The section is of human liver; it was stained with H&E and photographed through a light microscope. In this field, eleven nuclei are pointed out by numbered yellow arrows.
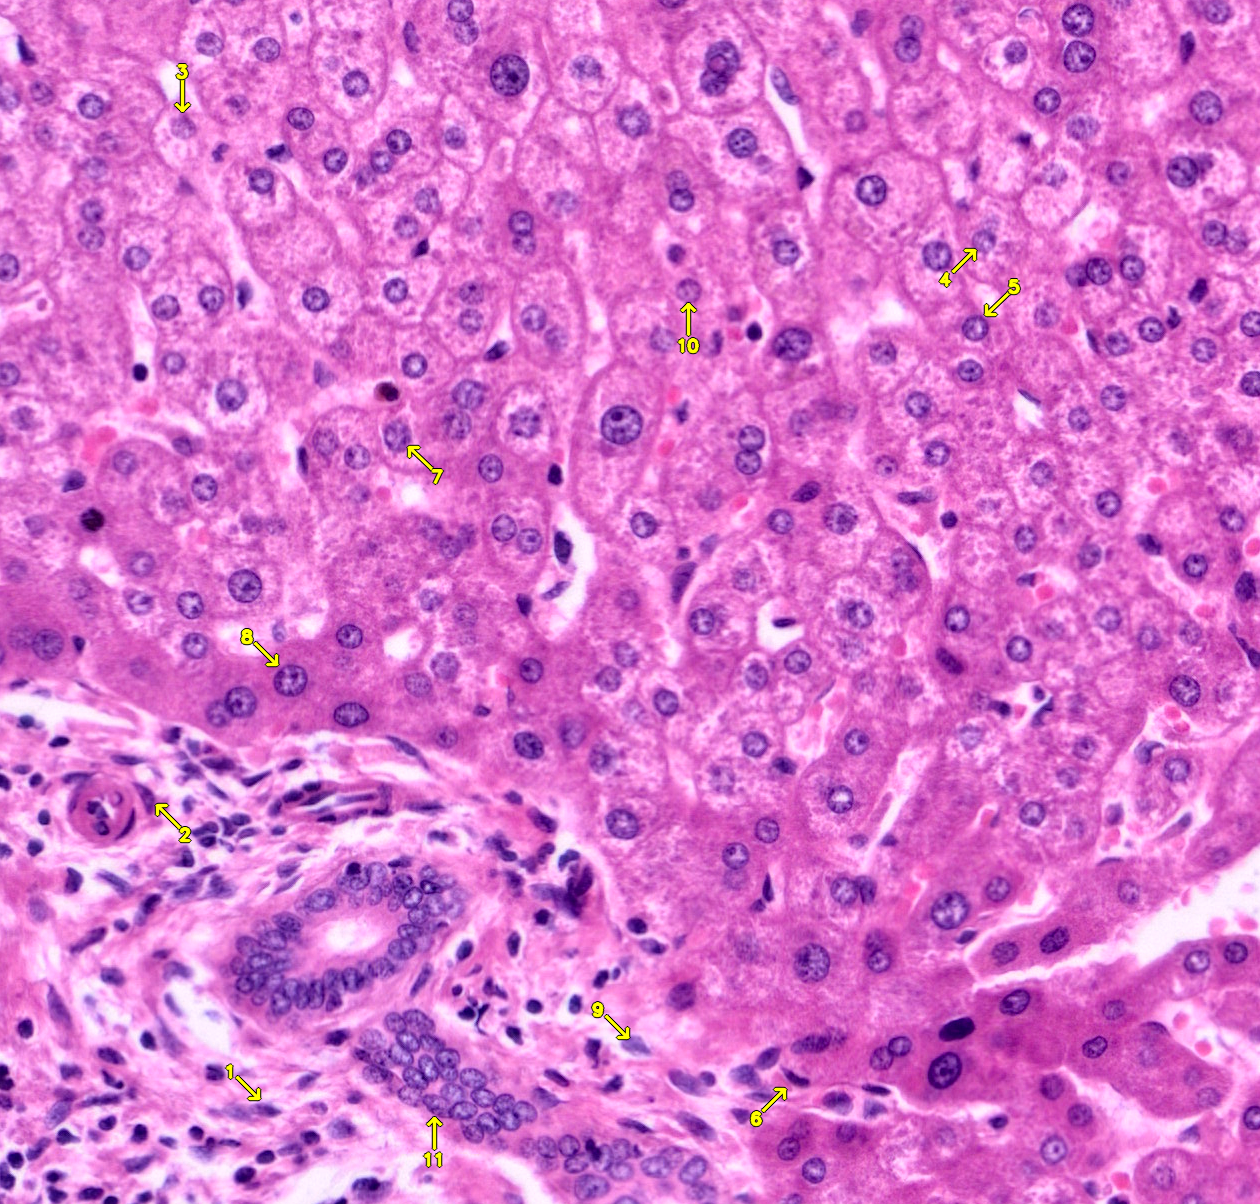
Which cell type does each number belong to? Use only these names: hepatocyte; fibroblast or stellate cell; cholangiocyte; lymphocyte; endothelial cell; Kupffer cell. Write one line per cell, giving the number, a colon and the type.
1: fibroblast or stellate cell
2: fibroblast or stellate cell
3: hepatocyte
4: hepatocyte
5: hepatocyte
6: fibroblast or stellate cell
7: hepatocyte
8: hepatocyte
9: fibroblast or stellate cell
10: hepatocyte
11: cholangiocyte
